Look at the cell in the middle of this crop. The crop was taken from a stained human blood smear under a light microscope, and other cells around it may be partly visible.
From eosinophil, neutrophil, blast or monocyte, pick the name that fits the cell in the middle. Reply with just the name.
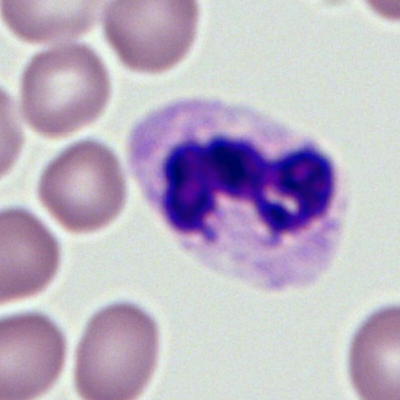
neutrophil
